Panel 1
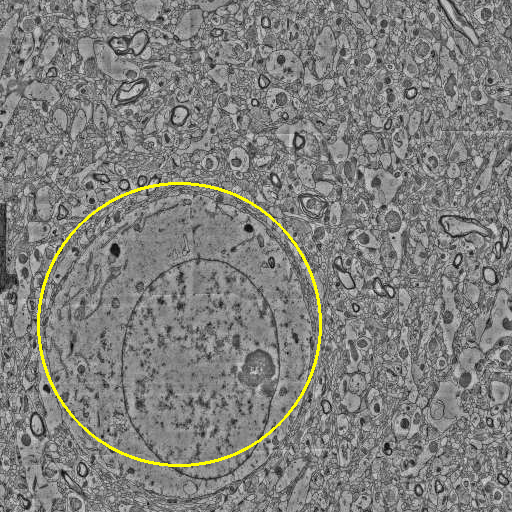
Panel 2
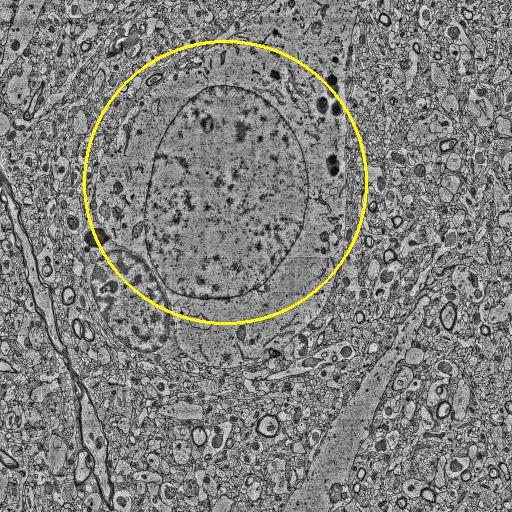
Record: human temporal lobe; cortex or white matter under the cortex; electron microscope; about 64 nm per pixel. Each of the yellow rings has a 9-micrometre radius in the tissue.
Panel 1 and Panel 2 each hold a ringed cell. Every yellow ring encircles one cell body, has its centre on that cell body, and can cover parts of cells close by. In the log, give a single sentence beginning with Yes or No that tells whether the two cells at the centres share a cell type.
Yes, in Panel 1 and Panel 2 the centred cells share a cell type.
